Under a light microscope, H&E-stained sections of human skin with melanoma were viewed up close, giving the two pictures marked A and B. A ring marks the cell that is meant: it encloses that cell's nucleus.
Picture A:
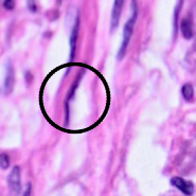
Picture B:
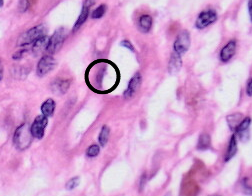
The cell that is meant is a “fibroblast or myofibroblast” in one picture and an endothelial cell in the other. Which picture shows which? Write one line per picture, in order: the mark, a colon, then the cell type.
A: fibroblast or myofibroblast
B: endothelial cell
